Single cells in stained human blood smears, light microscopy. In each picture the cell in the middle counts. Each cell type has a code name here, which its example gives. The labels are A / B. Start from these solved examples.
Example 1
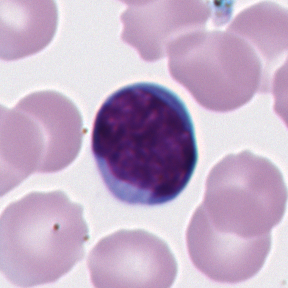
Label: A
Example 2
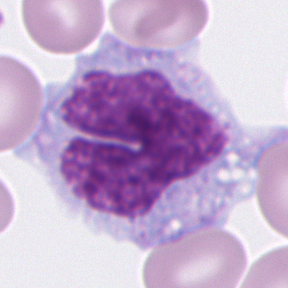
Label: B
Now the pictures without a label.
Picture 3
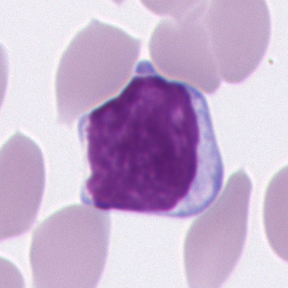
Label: A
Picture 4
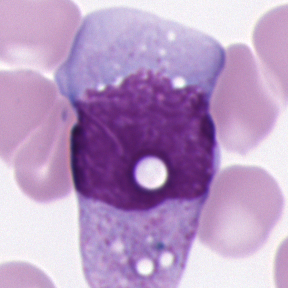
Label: B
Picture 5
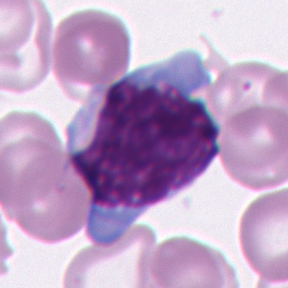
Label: A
